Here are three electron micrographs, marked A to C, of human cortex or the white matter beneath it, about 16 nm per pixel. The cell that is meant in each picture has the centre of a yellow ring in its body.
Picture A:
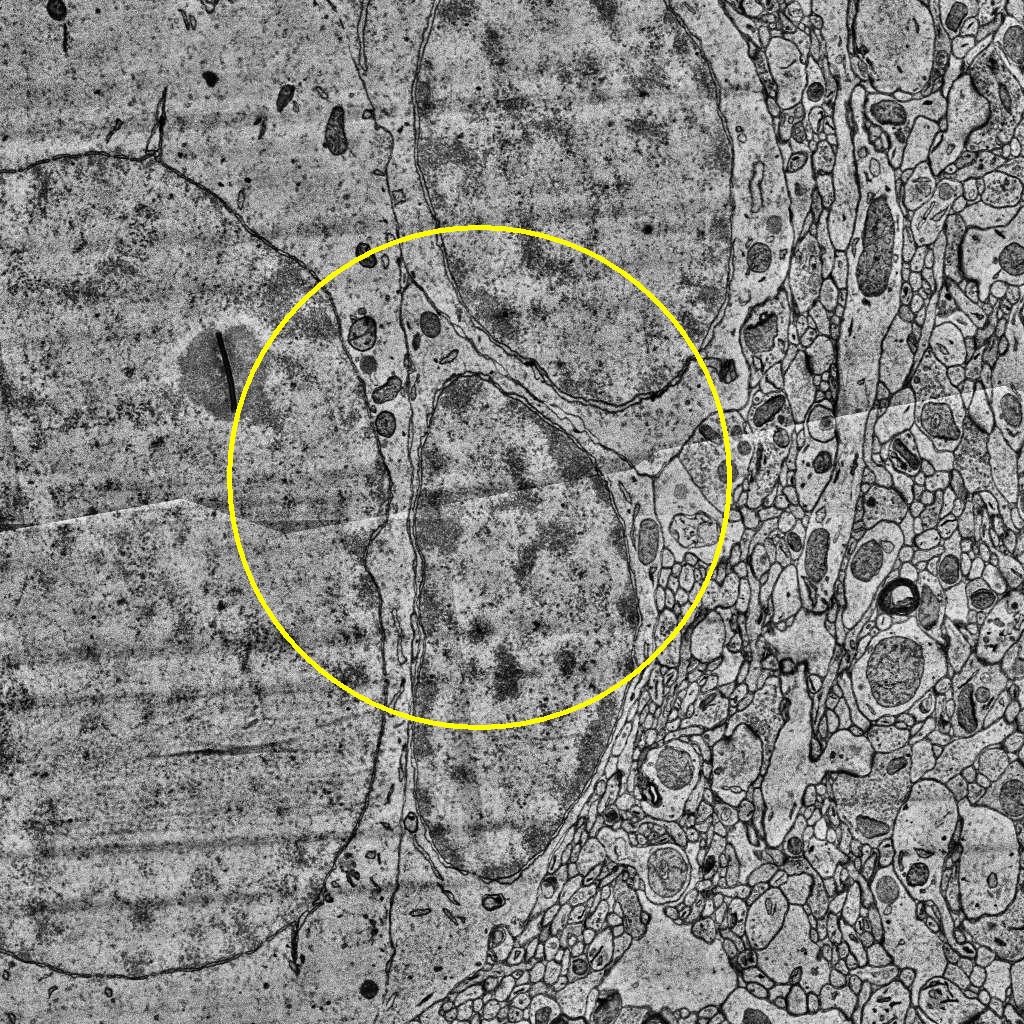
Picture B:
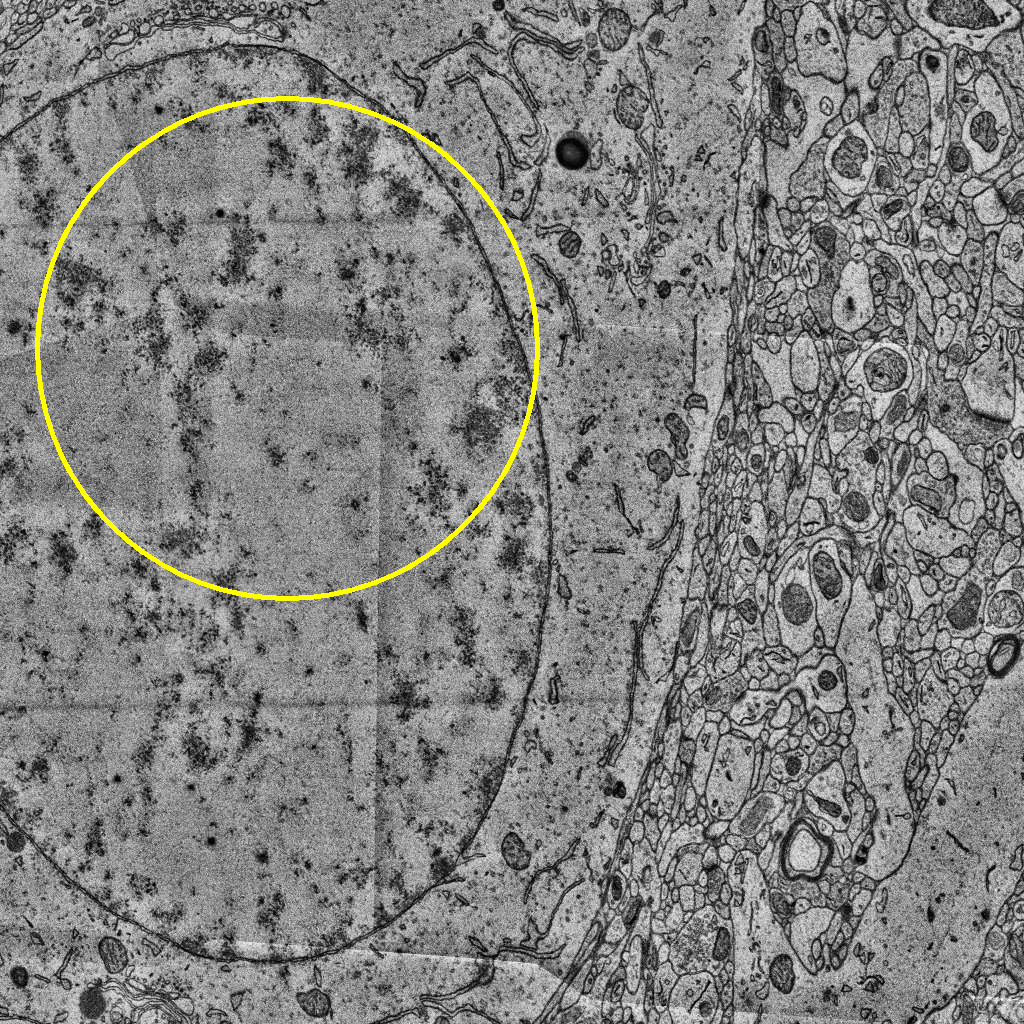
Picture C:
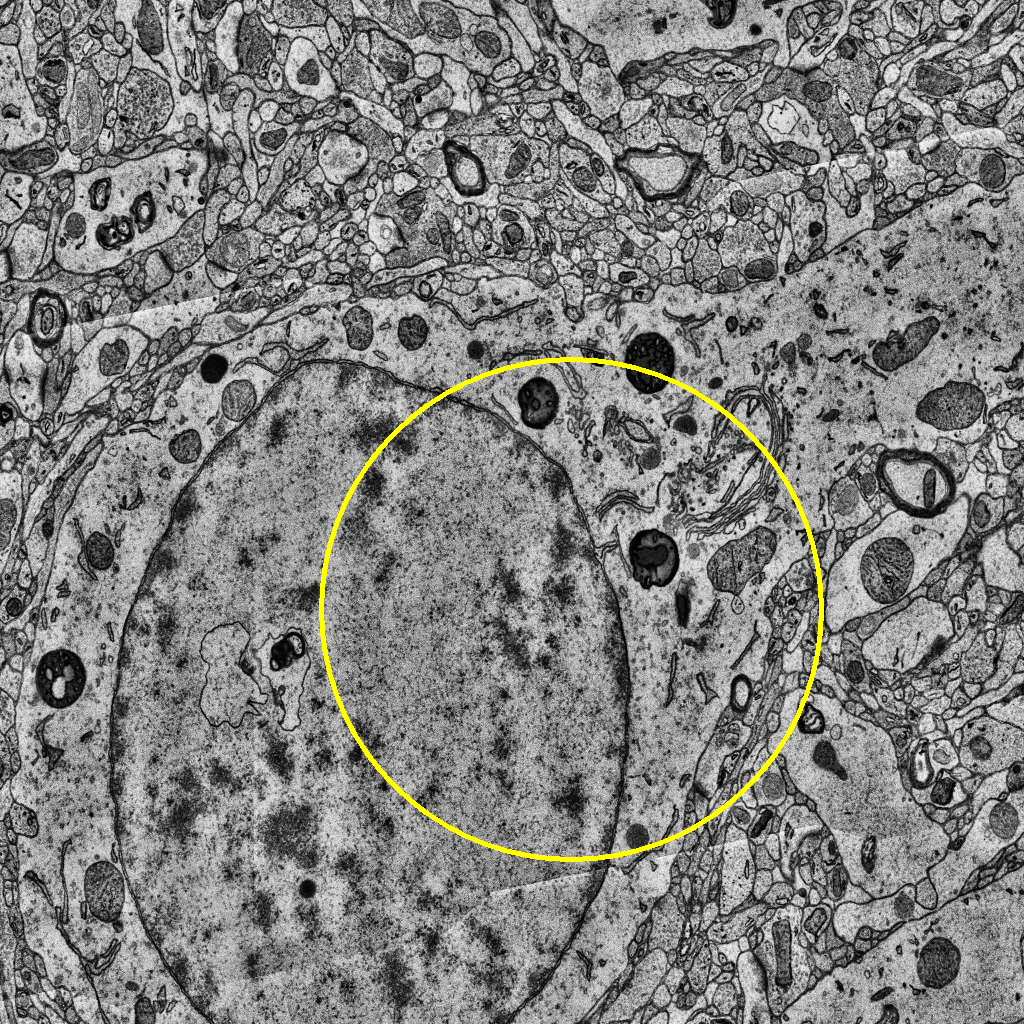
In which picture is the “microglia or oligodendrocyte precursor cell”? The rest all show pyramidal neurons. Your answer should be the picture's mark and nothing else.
A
